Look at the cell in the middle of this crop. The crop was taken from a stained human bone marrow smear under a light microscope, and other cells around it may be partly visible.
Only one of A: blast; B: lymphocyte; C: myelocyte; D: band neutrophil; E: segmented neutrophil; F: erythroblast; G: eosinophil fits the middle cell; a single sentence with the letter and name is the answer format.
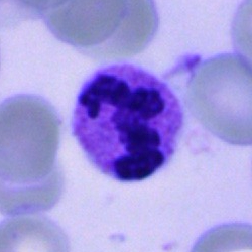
Option E is correct, naming the cell in the middle as a segmented neutrophil.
